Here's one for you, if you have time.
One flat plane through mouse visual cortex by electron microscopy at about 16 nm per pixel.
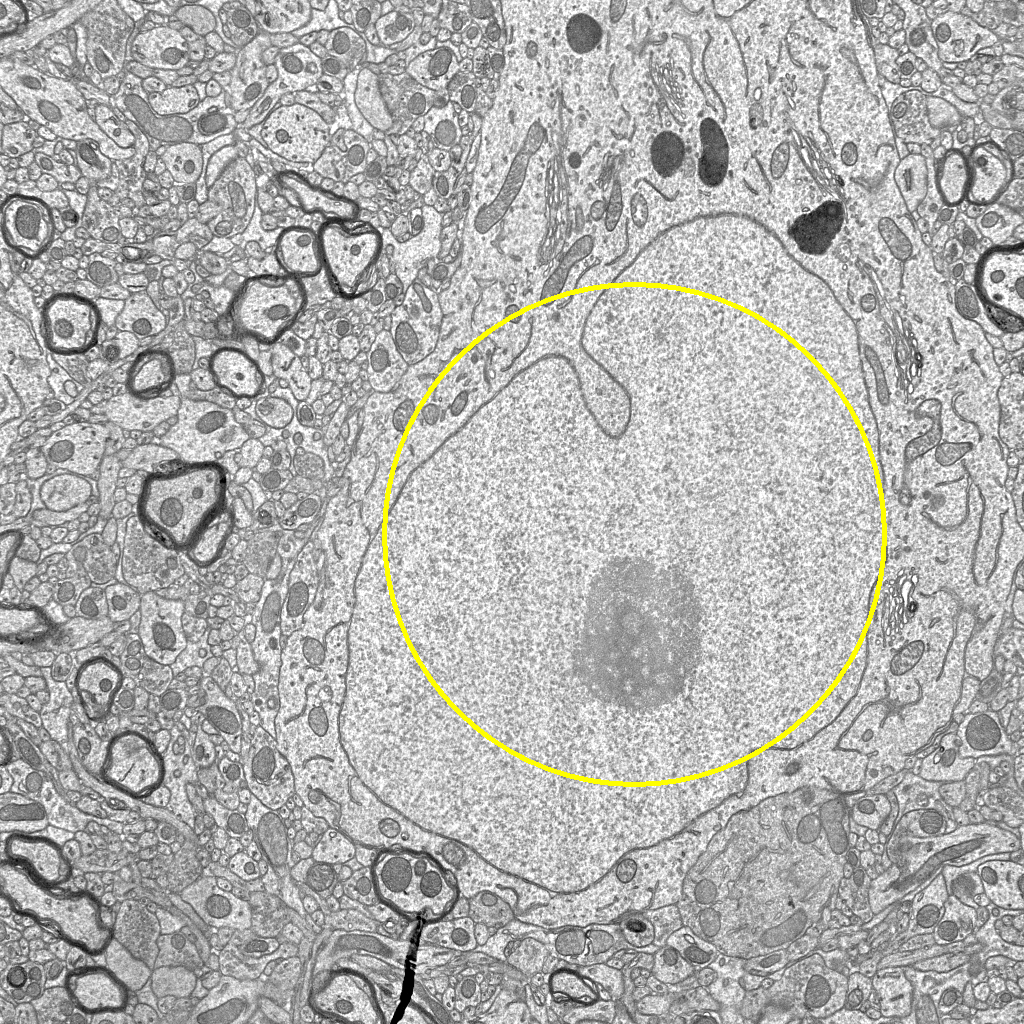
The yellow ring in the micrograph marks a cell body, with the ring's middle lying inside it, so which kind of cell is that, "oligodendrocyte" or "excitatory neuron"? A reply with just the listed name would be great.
excitatory neuron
